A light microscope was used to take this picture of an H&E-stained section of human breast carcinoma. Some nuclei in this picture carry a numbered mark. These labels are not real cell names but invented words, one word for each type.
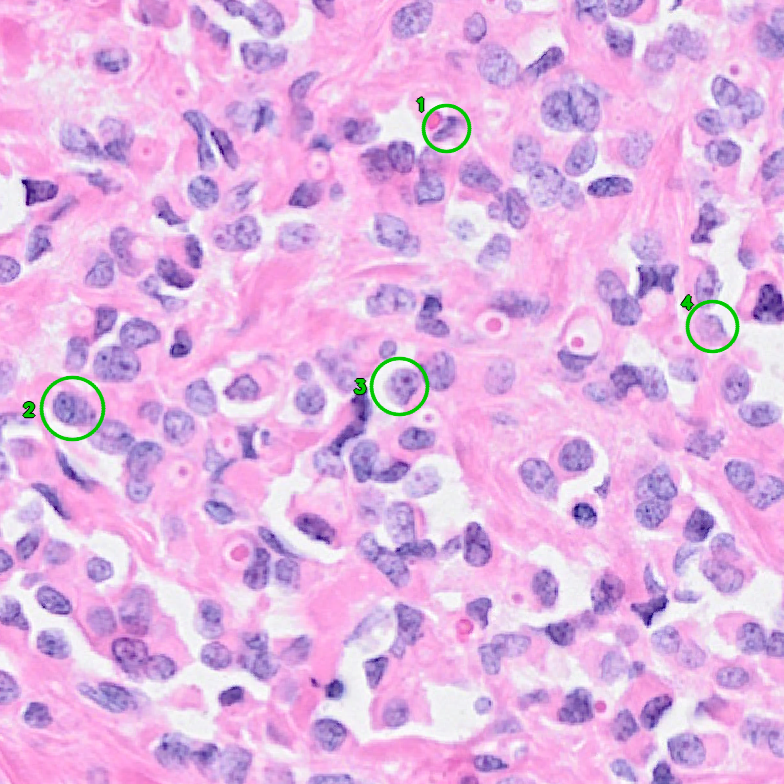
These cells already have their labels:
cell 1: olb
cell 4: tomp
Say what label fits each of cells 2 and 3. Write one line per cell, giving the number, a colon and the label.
2: tomp
3: tomp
